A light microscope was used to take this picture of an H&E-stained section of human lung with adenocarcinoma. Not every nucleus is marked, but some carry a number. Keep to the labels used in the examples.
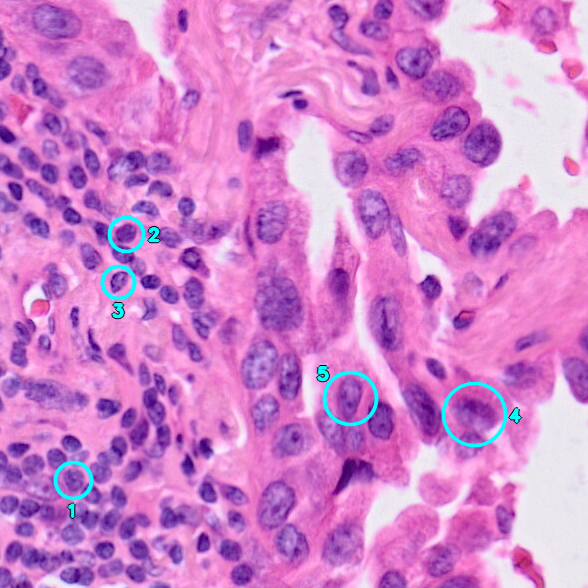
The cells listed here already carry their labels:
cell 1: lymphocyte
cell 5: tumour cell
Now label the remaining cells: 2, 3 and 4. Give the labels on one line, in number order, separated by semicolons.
lymphocyte; lymphocyte; tumour cell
